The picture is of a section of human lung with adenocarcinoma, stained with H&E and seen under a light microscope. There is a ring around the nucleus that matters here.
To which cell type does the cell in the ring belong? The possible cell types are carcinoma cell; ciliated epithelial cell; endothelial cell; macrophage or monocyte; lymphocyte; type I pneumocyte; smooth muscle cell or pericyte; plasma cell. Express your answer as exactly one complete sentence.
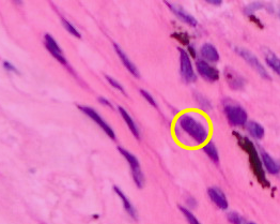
As to its cell type, the cell in the ring is a plasma cell.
